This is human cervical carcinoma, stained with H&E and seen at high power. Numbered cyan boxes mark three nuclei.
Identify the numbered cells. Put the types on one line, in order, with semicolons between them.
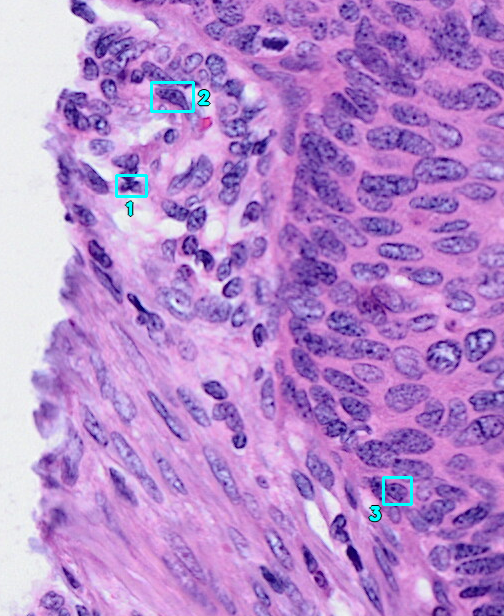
lymphocyte; endothelial cell; squamous carcinoma cell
